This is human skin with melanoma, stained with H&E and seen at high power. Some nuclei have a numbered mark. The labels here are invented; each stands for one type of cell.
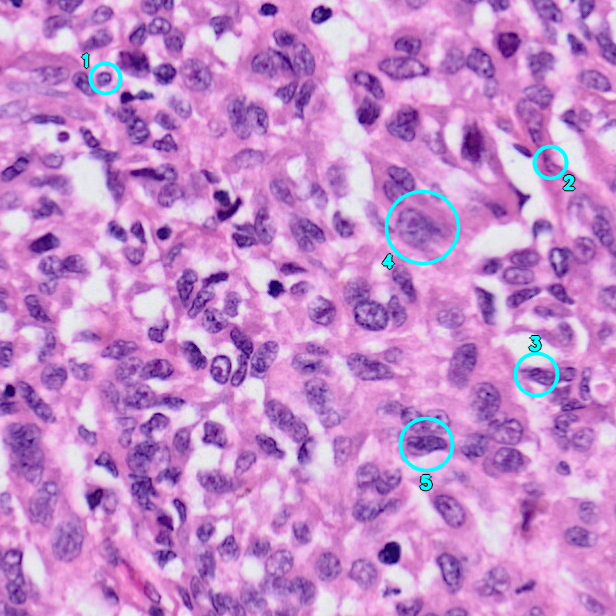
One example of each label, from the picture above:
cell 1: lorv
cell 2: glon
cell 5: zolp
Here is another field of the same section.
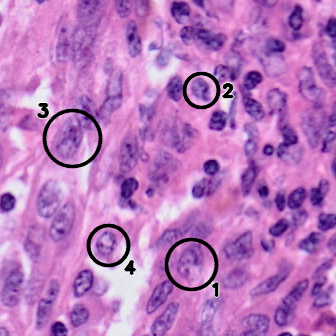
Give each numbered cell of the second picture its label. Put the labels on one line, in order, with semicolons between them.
zolp; lorv; zolp; zolp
